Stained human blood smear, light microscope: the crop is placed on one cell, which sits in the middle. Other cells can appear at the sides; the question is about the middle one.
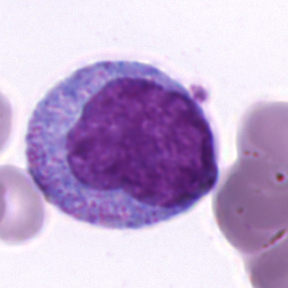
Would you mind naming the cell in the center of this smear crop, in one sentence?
The cell occupying the middle of the crop is a promyelocyte.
